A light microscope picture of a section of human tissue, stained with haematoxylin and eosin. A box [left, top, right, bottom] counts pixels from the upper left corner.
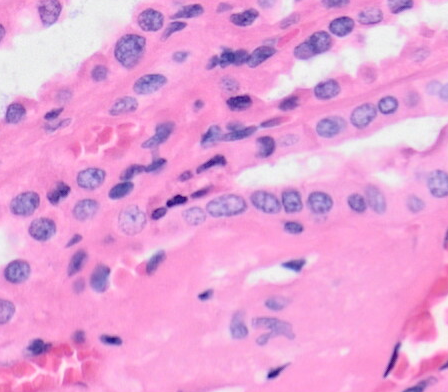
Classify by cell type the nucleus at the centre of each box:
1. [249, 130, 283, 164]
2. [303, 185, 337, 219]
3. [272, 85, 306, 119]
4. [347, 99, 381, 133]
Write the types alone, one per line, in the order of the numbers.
collecting duct cell
collecting duct cell
loop of Henle or distal tubule cell
collecting duct cell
